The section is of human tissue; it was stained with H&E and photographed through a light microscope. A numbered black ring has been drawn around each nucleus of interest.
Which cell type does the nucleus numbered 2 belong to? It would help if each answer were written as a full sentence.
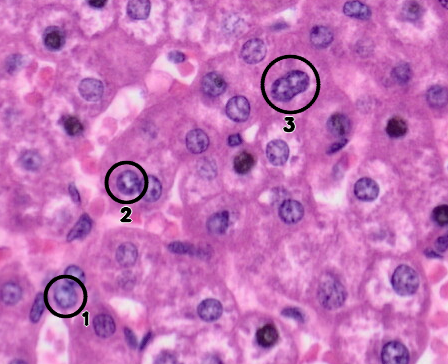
Here the cell numbered 2 is a hepatocyte.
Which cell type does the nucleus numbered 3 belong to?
The nucleus labeled 3 belongs to a hepatocyte.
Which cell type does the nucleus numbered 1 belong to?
The cell referred to as 1 is a cholangiocyte.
